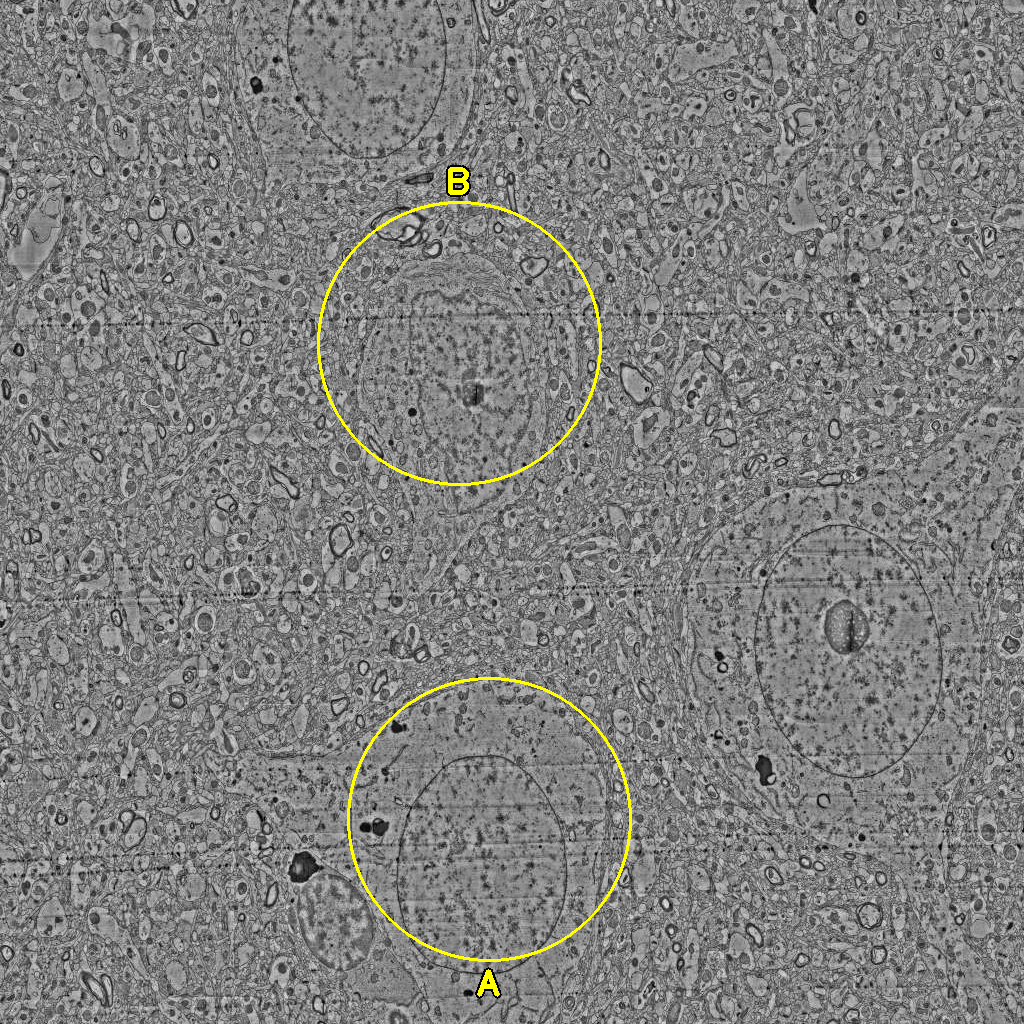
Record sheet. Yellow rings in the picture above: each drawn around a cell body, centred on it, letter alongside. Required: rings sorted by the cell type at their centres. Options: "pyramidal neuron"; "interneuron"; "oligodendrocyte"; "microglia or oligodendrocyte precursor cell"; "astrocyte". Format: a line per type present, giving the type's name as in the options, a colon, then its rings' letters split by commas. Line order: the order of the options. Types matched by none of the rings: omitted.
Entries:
pyramidal neuron: A
interneuron: B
